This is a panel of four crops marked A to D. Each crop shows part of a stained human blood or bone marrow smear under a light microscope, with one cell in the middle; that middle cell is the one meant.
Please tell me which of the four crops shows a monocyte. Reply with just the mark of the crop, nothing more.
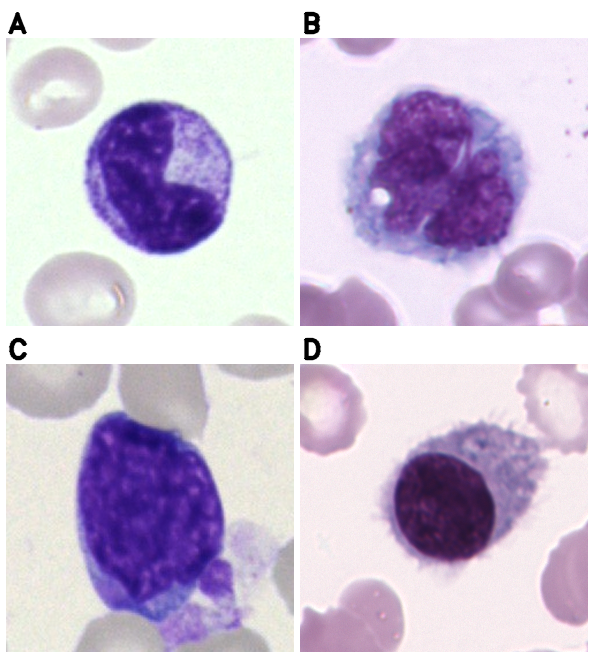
B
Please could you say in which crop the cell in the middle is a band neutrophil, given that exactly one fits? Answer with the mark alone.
A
